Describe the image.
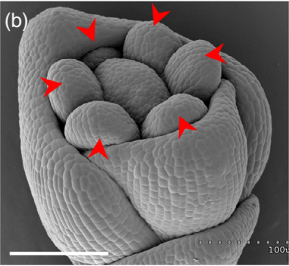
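This scanning electron micrograph of a young floret shows a ring of six rounded stamen primordia around a low central dome of the floral meristem. The outer floral organs curve up around them and enclose them. The outlines of small, polygonal epidermal cells can be made out over the surfaces of the primordia and the enclosing organs.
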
